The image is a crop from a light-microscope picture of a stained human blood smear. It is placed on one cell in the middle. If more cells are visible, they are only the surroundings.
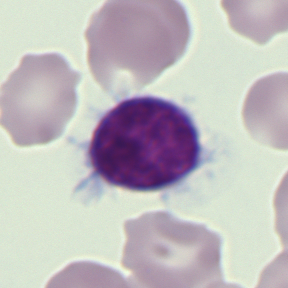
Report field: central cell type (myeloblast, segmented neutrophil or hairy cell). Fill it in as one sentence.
The cell of interest, in the center, is a hairy cell.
